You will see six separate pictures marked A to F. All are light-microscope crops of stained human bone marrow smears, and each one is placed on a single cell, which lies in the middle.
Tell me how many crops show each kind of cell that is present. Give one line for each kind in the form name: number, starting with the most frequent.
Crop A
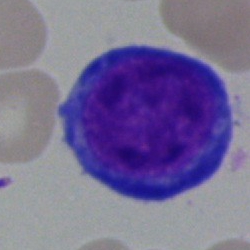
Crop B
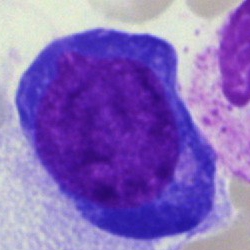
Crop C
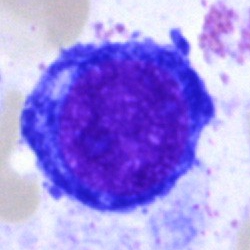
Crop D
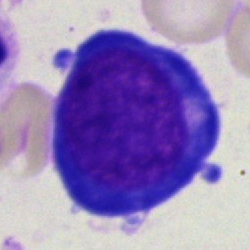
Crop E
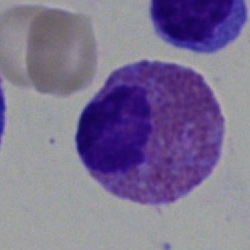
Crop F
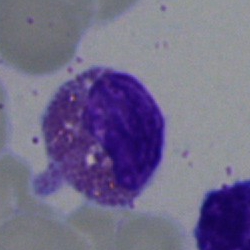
proerythroblast: 4
eosinophil: 2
